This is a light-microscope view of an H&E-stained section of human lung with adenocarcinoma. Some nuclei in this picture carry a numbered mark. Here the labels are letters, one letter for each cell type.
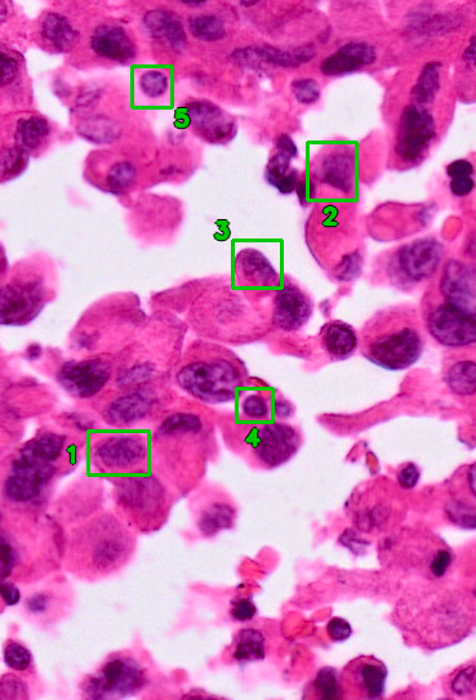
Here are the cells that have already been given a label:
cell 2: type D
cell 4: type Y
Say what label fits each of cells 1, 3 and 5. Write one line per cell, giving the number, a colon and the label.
1: type D
3: type D
5: type Y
